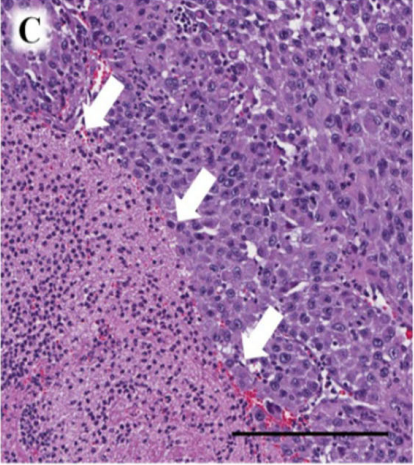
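This is a tumor in which viable tumor cells border an area of necrosis. On the right, large polygonal tumor cells with round nuclei and pink cytoplasm form sheets and nests separated by thin strands with red blood cells. On the left, the tissue has lost its cellular structure and consists of pale pink amorphous material with many scattered small dark nuclear fragments. The boundary between the two zones is fairly sharp, with small collections of red blood cells along it.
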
